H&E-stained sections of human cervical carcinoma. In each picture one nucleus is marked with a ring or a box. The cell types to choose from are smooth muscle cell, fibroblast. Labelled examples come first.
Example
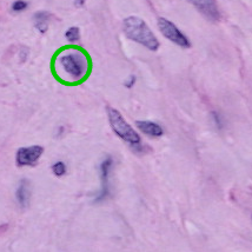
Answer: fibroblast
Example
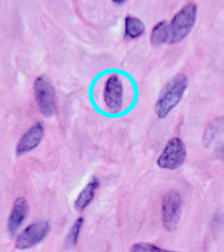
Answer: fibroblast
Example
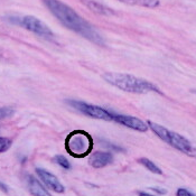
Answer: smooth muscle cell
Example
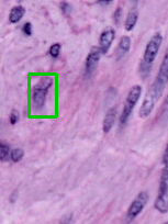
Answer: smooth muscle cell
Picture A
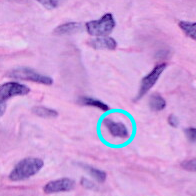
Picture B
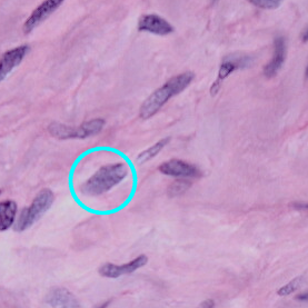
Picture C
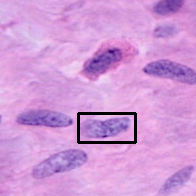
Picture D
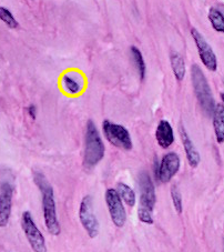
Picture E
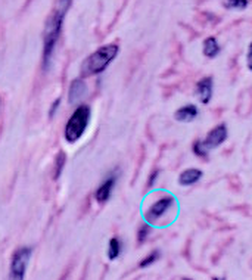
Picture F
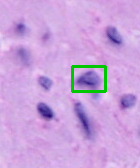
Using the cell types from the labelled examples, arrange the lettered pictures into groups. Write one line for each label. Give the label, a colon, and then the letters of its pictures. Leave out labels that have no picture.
smooth muscle cell: E
fibroblast: A, B, C, D, F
